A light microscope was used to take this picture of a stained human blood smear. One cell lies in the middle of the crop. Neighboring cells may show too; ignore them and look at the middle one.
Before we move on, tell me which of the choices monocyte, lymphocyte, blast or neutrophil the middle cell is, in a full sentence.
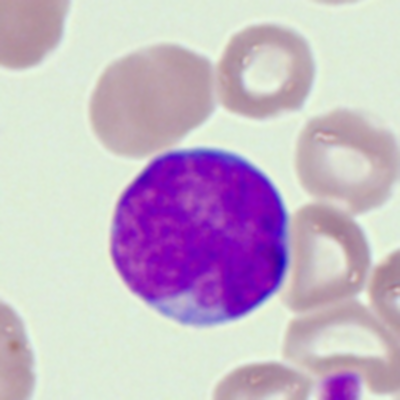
In the middle of this smear crop is a blast.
